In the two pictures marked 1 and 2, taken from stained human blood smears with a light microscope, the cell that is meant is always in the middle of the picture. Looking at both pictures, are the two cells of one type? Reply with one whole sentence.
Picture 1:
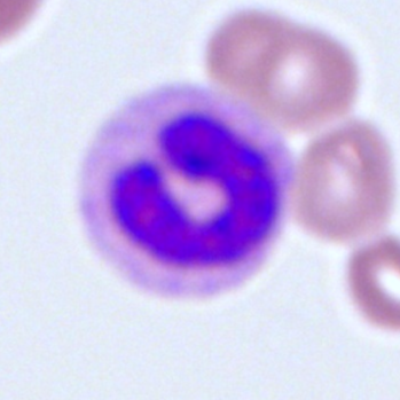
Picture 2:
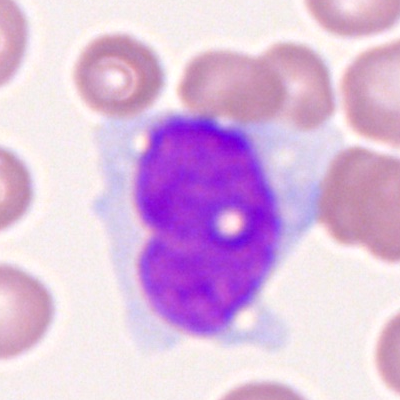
No, the types are not the same, since picture 1 shows a band neutrophil and picture 2 a monocyte.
